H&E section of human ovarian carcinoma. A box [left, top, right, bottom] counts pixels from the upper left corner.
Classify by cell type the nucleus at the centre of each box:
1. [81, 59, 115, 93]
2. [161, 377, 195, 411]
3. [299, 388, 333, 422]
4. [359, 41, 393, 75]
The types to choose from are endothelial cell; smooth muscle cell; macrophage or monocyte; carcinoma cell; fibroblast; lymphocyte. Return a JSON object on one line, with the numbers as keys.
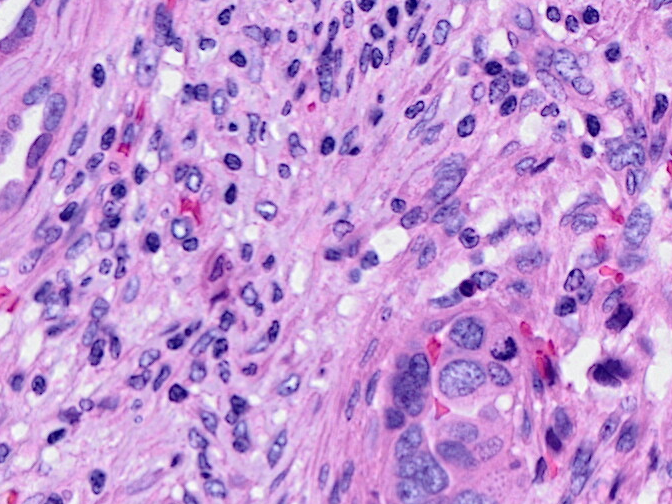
{"1": "lymphocyte", "2": "lymphocyte", "3": "fibroblast", "4": "lymphocyte"}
